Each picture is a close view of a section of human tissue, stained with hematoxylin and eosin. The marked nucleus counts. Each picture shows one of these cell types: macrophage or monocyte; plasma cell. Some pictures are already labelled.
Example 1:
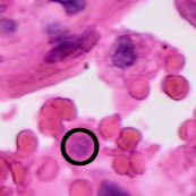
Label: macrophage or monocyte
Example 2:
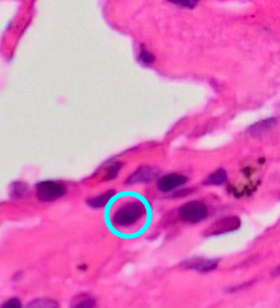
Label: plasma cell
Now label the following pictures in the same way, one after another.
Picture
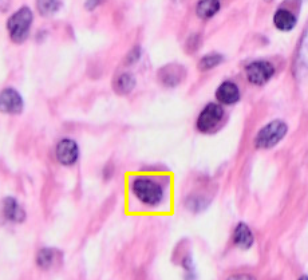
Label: plasma cell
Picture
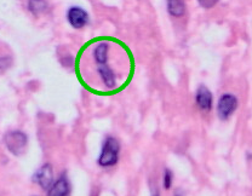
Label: macrophage or monocyte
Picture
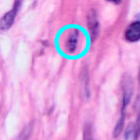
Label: plasma cell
